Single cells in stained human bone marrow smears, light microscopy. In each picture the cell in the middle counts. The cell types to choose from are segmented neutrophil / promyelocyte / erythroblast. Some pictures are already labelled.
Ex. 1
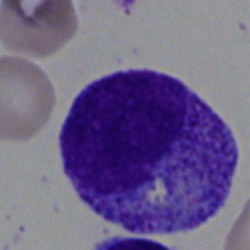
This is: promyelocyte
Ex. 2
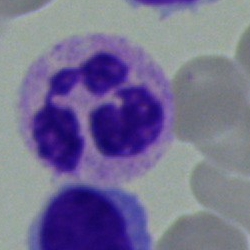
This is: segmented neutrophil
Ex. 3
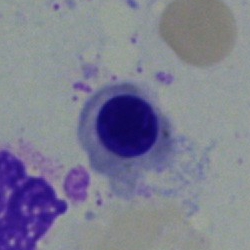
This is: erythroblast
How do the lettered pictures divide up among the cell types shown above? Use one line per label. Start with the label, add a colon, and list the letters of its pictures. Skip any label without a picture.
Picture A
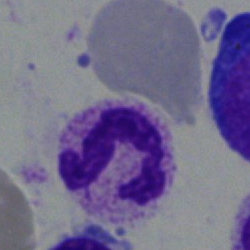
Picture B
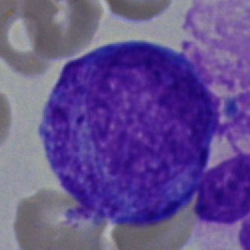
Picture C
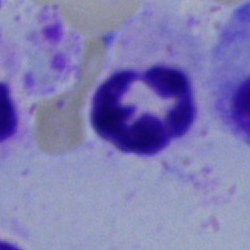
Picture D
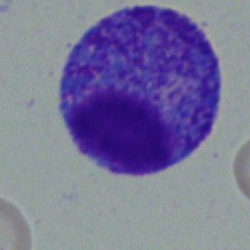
segmented neutrophil: A, C
promyelocyte: B, D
